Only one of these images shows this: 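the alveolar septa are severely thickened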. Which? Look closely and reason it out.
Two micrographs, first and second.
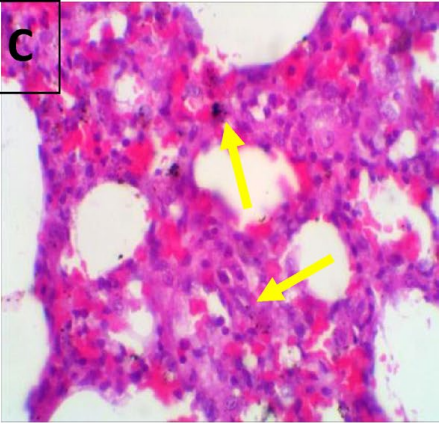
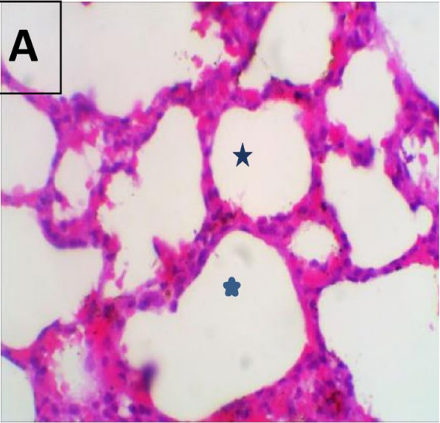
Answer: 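First image: broad, densely cellular tissue fills most of the field with few small air spaces. Second image: large open air spaces separated by thin walls.
Answer: the first image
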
